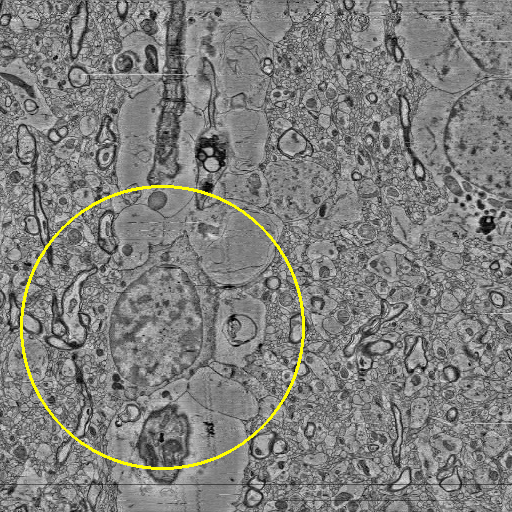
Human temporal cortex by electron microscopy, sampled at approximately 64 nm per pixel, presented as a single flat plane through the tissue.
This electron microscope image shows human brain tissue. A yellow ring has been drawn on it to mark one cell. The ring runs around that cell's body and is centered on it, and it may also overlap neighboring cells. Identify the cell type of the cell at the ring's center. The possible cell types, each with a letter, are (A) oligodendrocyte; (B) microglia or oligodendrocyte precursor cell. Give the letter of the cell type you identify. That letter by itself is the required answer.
A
